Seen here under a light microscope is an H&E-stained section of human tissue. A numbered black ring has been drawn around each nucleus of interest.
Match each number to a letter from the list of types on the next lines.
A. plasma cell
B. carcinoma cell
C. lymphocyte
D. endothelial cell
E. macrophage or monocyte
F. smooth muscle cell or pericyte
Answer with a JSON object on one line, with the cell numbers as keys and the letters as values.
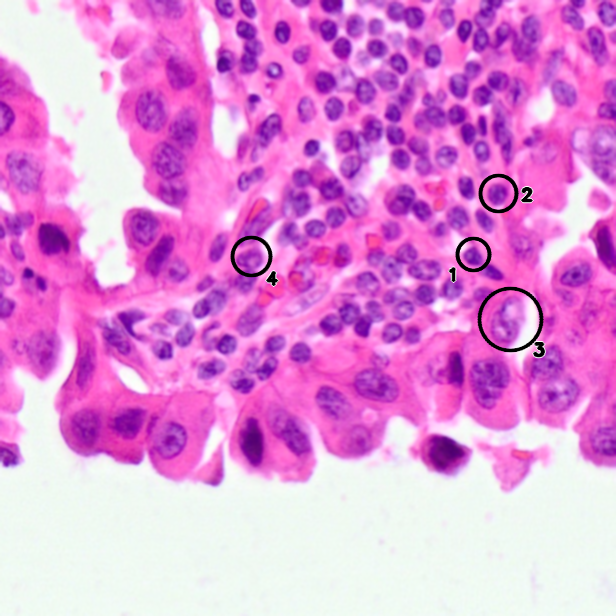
{"1": "C", "2": "C", "3": "B", "4": "C"}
